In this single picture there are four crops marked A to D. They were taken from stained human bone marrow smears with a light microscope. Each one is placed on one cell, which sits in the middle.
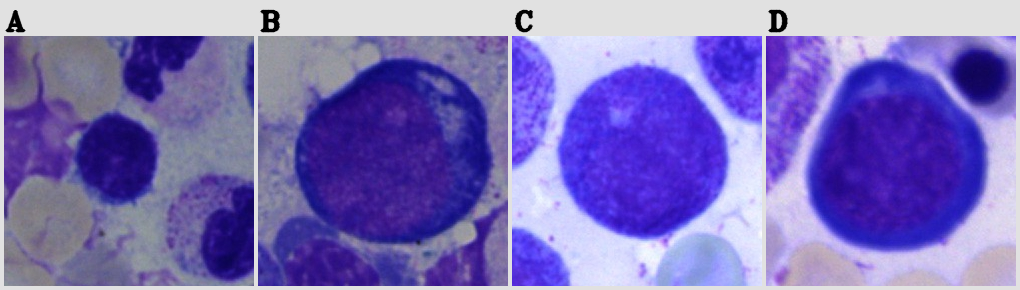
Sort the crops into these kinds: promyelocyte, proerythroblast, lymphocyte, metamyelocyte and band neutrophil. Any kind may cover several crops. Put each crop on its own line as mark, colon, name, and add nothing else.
A: lymphocyte
B: proerythroblast
C: promyelocyte
D: proerythroblast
